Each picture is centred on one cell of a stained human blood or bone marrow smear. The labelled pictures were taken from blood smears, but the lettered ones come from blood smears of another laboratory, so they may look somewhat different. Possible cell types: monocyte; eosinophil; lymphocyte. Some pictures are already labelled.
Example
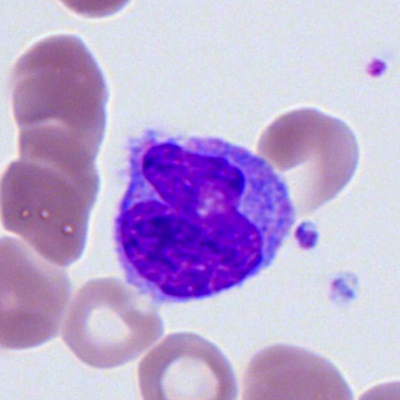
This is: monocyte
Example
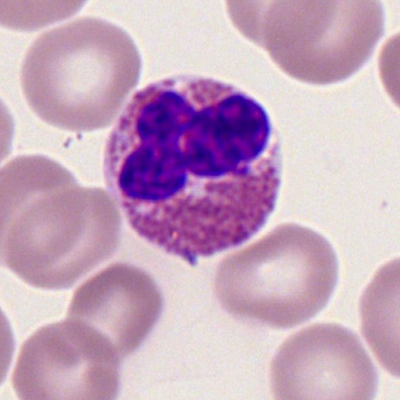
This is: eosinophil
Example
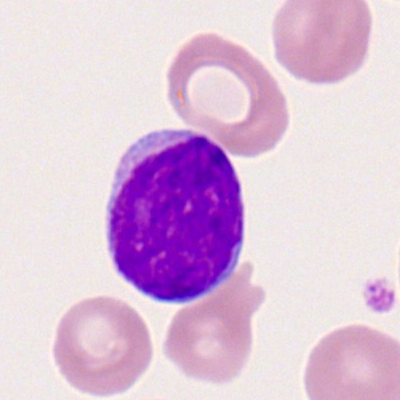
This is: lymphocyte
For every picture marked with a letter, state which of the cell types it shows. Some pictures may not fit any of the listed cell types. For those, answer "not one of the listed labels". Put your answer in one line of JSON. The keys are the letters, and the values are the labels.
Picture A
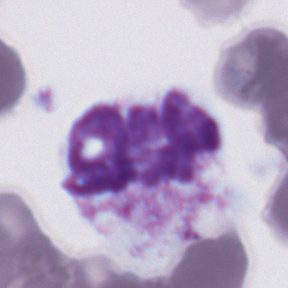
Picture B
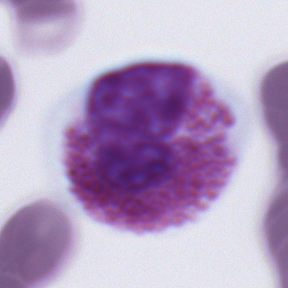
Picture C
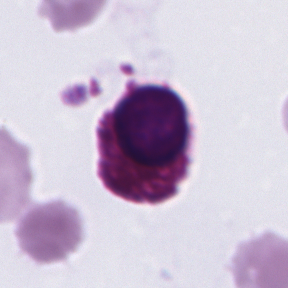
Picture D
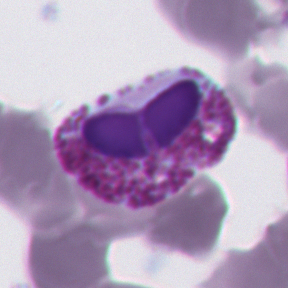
{"A": "not one of the listed labels", "B": "eosinophil", "C": "eosinophil", "D": "eosinophil"}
